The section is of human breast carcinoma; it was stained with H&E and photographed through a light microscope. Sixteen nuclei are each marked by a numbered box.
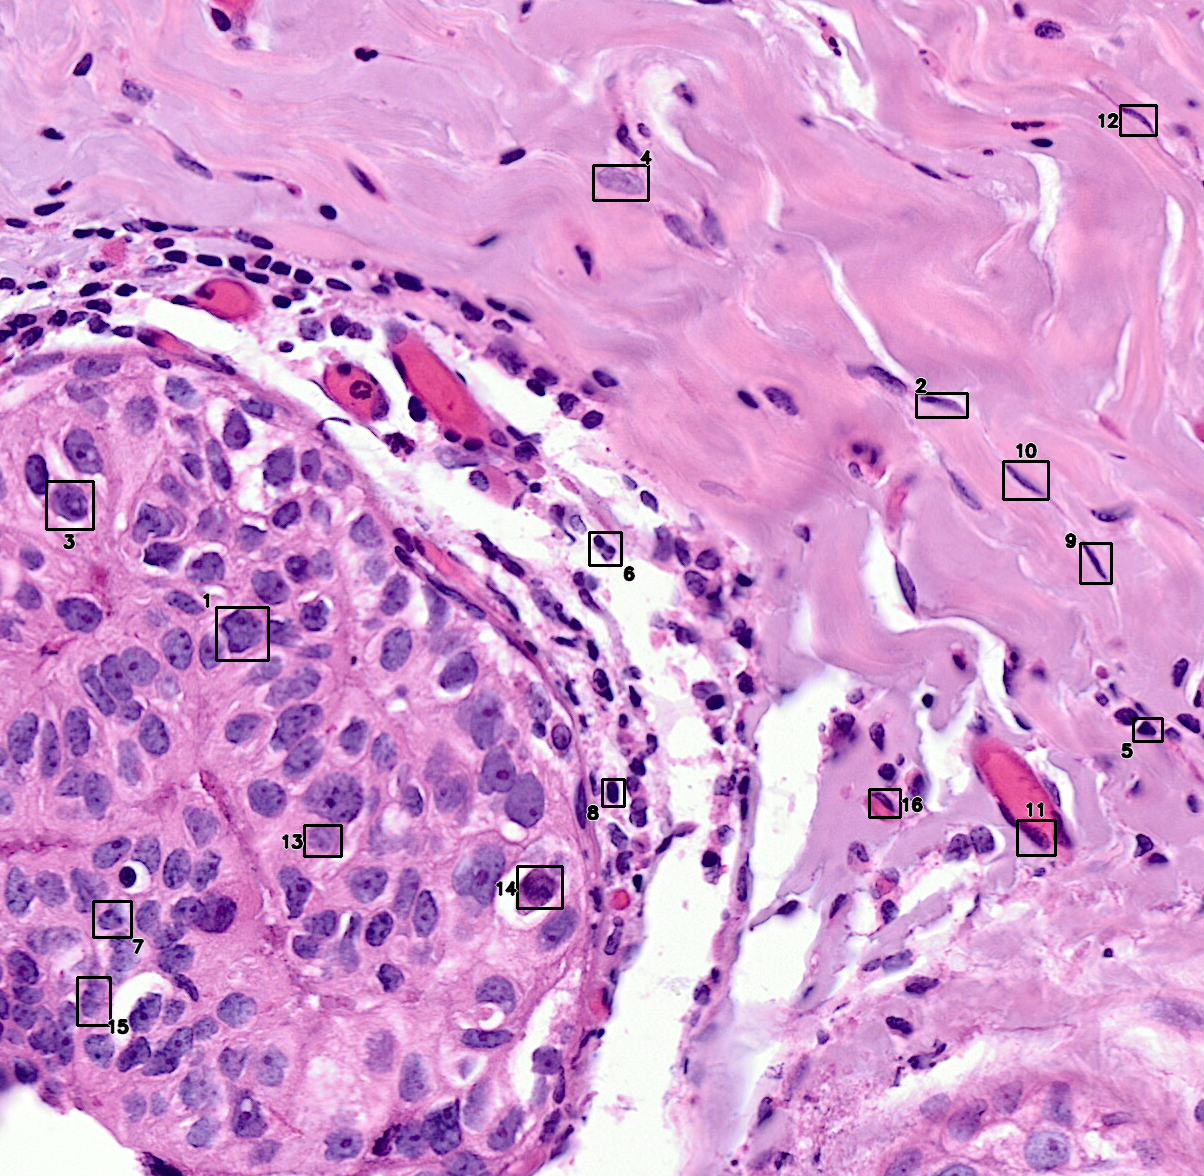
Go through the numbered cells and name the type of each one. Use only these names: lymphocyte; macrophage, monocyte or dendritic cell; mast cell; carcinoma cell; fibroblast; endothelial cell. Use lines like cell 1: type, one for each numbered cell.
cell 1: carcinoma cell
cell 2: fibroblast
cell 3: carcinoma cell
cell 4: fibroblast
cell 5: lymphocyte
cell 6: lymphocyte
cell 7: carcinoma cell
cell 8: lymphocyte
cell 9: fibroblast
cell 10: fibroblast
cell 11: endothelial cell
cell 12: fibroblast
cell 13: carcinoma cell
cell 14: carcinoma cell
cell 15: carcinoma cell
cell 16: endothelial cell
